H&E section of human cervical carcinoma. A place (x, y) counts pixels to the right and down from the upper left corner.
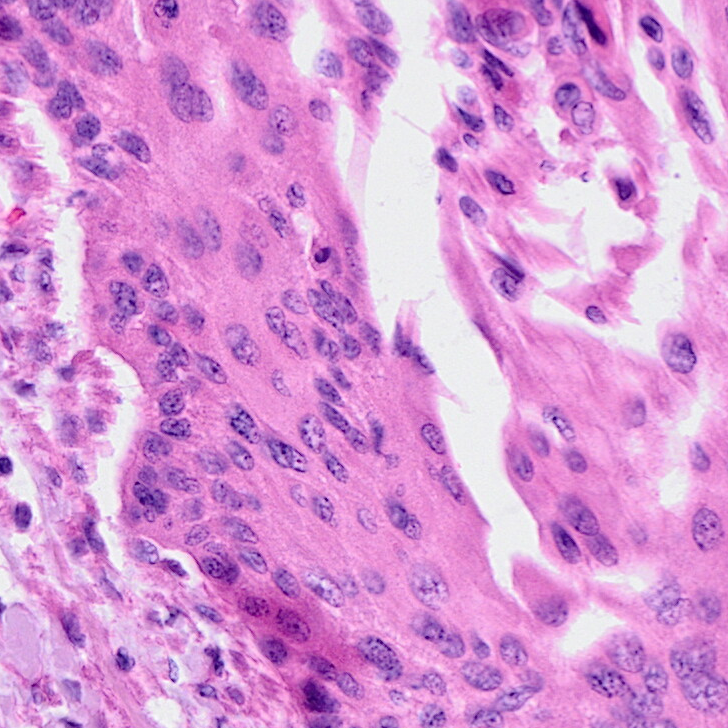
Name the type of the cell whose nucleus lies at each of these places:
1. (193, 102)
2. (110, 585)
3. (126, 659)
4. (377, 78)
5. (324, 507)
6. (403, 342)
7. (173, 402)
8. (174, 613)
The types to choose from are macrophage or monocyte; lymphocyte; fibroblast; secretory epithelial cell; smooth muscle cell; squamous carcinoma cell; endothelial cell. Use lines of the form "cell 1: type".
cell 1: squamous carcinoma cell
cell 2: fibroblast
cell 3: lymphocyte
cell 4: squamous carcinoma cell
cell 5: squamous carcinoma cell
cell 6: squamous carcinoma cell
cell 7: squamous carcinoma cell
cell 8: fibroblast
